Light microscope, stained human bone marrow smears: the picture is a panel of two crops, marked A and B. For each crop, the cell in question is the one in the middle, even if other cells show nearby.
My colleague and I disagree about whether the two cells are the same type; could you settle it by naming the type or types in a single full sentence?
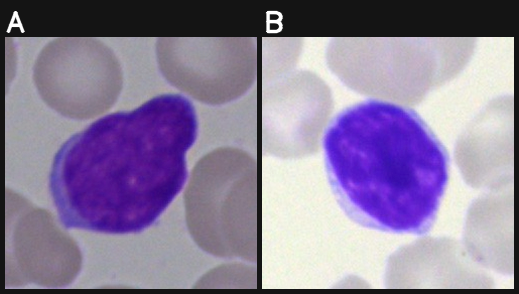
No, within crop A lies a blast, and within crop B lies a lymphocyte.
